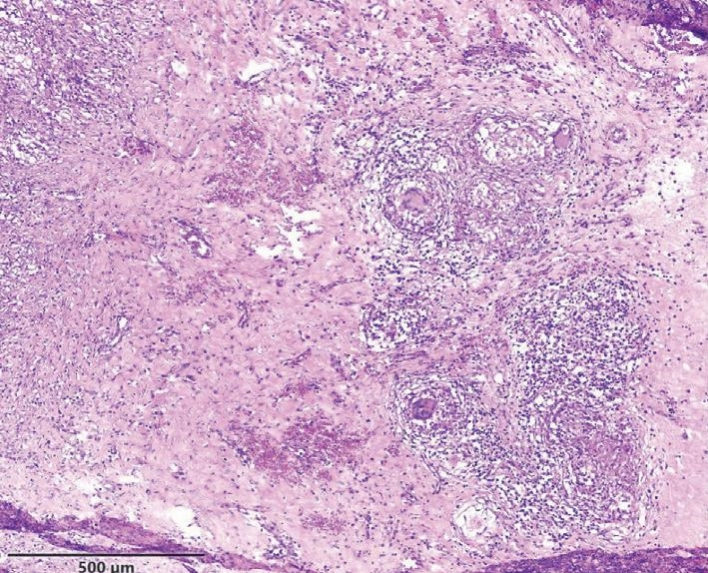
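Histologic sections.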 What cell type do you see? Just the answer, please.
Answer: Multinucleated giant cells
